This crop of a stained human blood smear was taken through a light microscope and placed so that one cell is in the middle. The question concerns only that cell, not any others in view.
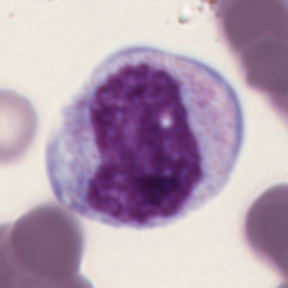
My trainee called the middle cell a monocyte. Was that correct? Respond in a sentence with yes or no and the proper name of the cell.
No, the cell at the center of this crop is a metamyelocyte instead of a monocyte.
